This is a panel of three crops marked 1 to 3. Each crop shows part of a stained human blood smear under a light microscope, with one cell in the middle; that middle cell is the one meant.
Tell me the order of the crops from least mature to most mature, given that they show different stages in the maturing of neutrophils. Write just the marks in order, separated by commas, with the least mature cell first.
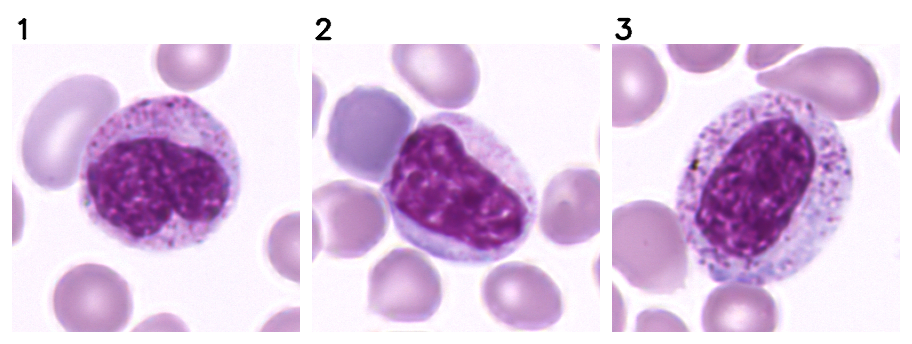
3, 2, 1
